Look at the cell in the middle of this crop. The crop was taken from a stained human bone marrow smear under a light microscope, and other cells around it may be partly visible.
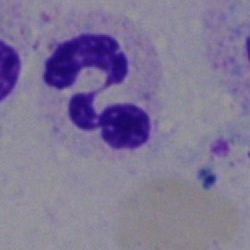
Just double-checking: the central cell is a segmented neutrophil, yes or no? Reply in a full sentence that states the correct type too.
Yes, the central cell of this crop corresponds to a segmented neutrophil.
